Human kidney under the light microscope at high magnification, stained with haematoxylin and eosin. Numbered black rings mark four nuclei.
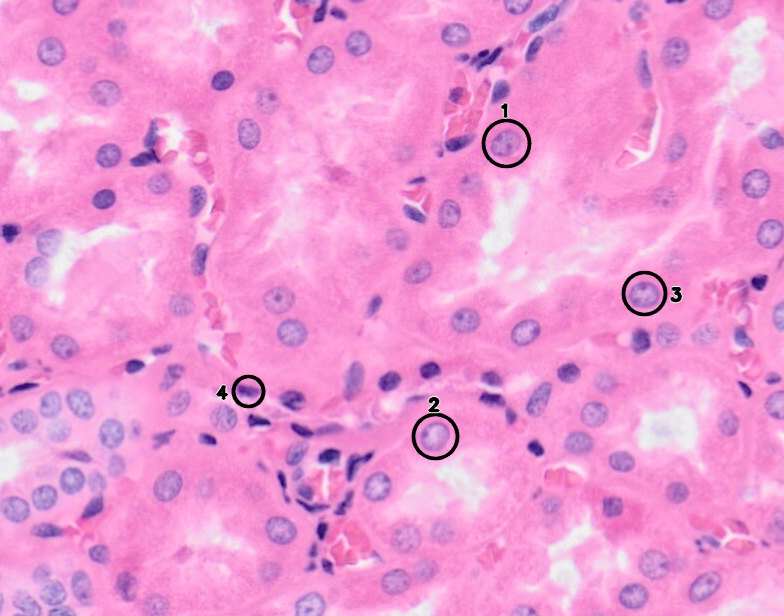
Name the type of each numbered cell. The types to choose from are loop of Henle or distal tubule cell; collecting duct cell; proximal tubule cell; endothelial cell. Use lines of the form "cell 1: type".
cell 1: proximal tubule cell
cell 2: proximal tubule cell
cell 3: proximal tubule cell
cell 4: loop of Henle or distal tubule cell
